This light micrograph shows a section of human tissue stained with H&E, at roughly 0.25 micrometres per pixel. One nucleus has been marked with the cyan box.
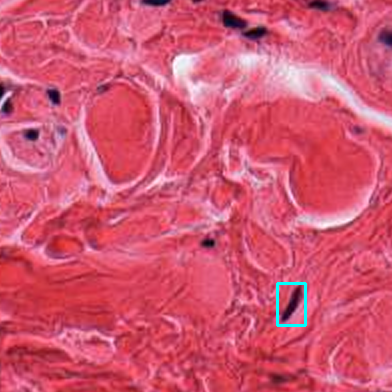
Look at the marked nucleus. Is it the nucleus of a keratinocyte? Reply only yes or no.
no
